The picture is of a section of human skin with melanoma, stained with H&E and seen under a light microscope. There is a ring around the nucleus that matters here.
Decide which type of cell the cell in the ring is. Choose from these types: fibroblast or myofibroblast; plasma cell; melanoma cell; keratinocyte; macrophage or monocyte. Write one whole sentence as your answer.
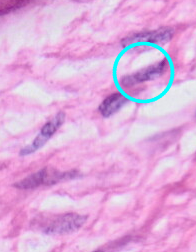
Speaking plainly, the cell in the ring is nothing other than a fibroblast or myofibroblast.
